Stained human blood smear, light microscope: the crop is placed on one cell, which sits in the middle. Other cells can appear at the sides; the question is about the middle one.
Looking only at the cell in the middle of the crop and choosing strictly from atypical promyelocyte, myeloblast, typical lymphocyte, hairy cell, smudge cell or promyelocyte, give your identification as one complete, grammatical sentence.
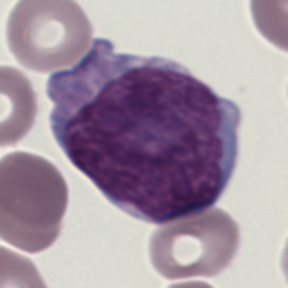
The cell at the central position in this crop is a promyelocyte.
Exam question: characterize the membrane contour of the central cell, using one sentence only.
Not smooth, the outline of the cell is ragged or drawn out into projections.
